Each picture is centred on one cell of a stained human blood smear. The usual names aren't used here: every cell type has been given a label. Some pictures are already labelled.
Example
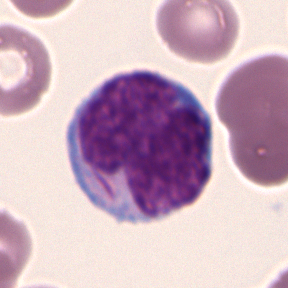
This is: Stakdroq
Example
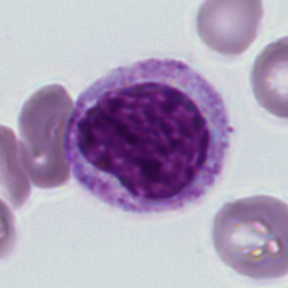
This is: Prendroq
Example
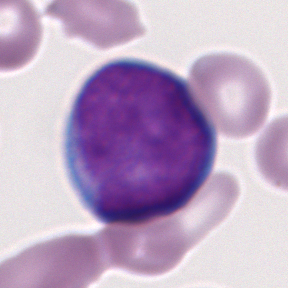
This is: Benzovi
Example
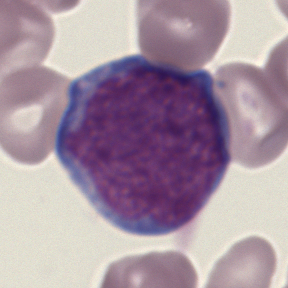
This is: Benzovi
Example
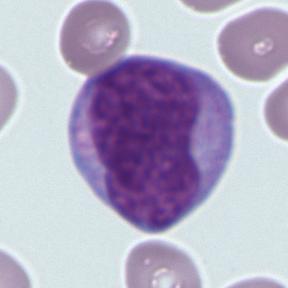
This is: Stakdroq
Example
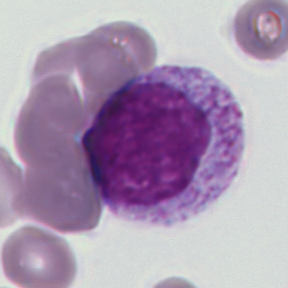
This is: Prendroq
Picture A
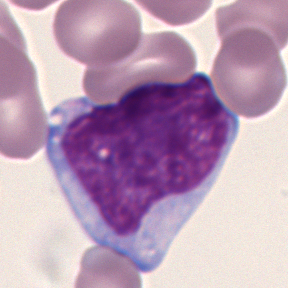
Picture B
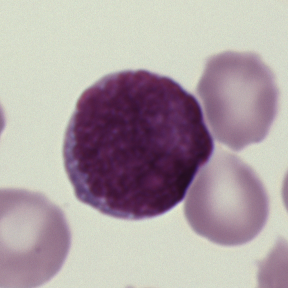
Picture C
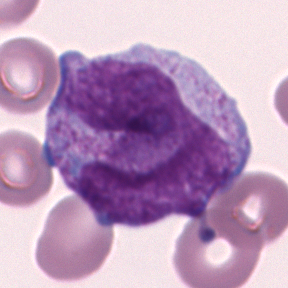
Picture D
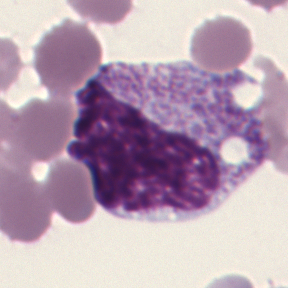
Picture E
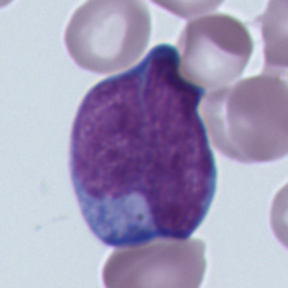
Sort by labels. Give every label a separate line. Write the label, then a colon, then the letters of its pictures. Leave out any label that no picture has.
Stakdroq: C
Prendroq: D
Benzovi: A, B, E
